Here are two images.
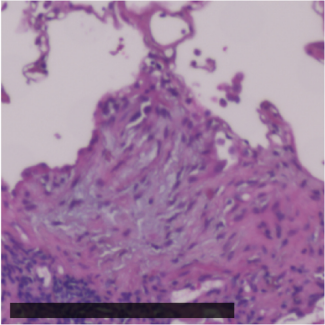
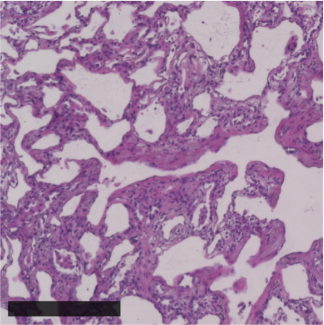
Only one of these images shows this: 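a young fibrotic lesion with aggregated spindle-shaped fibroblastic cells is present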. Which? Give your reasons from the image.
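Second image: thin and somewhat thickened alveolar walls surround open airspaces, with no pale loose nodule of spindle cells. First image: a dome-shaped pale bluish-grey loose area holds scattered spindle-shaped cells.
Answer: the first image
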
